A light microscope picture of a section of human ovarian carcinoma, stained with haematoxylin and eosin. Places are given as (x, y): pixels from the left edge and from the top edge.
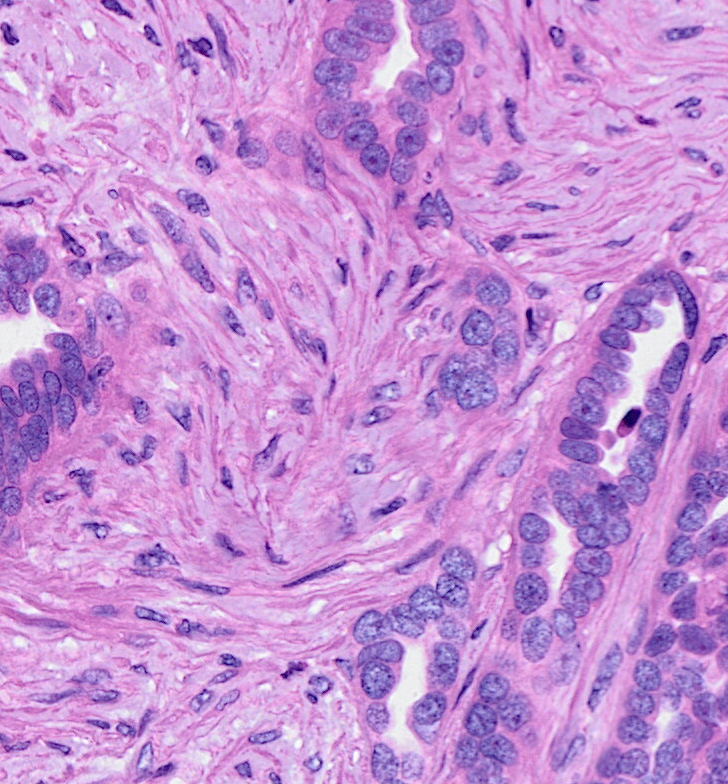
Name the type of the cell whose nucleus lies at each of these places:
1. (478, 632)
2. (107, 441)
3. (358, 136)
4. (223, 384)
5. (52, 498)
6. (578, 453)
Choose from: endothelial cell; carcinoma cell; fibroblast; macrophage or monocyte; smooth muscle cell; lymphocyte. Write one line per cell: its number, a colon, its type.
1: fibroblast
2: fibroblast
3: carcinoma cell
4: fibroblast
5: fibroblast
6: carcinoma cell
